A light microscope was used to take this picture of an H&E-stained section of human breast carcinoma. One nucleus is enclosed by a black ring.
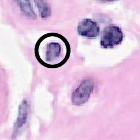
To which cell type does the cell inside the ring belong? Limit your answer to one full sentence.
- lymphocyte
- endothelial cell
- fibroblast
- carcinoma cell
In this section, the cell inside the ring is a lymphocyte.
